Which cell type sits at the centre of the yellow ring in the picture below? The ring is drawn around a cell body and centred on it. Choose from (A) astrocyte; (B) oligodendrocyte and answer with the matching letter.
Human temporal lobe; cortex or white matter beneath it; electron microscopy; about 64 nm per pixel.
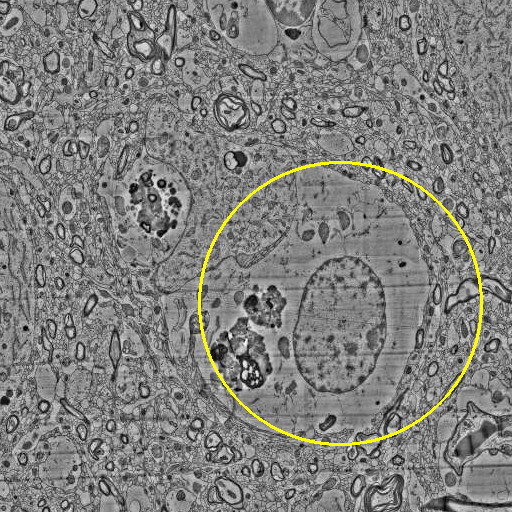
A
